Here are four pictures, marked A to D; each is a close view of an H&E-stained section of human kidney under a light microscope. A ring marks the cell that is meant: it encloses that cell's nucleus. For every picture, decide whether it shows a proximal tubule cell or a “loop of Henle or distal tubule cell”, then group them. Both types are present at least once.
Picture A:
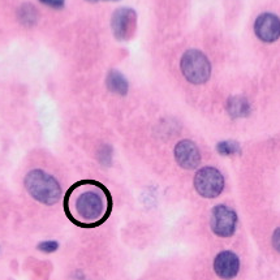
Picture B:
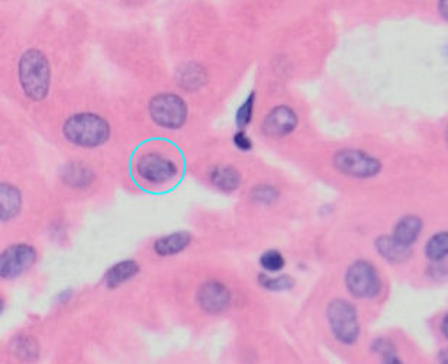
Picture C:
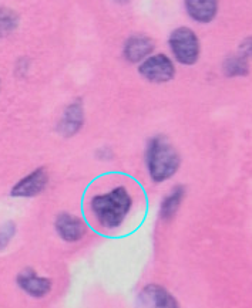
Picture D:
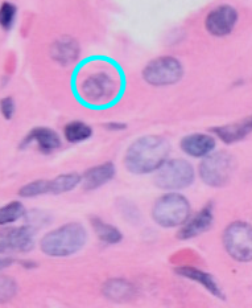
A: proximal tubule cell
B: loop of Henle or distal tubule cell
C: loop of Henle or distal tubule cell
D: loop of Henle or distal tubule cell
